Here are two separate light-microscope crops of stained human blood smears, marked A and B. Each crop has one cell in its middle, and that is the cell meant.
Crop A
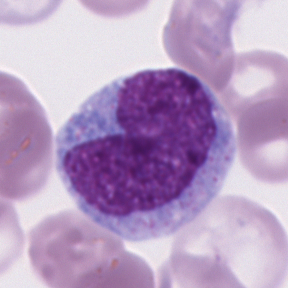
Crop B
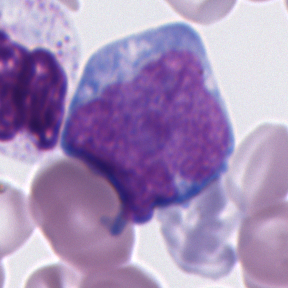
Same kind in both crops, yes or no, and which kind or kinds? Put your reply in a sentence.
No, the correct reading is a monocyte in crop A and a myeloblast in crop B.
